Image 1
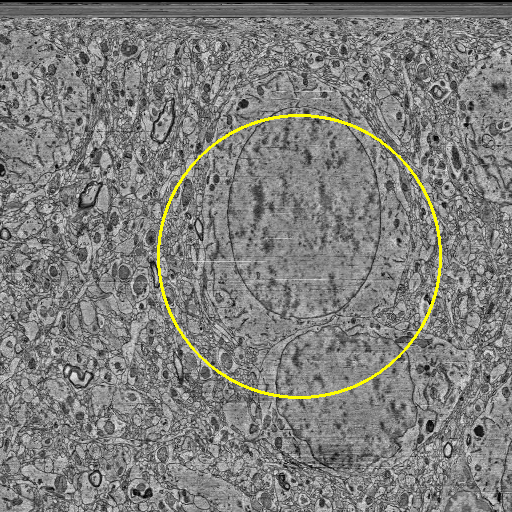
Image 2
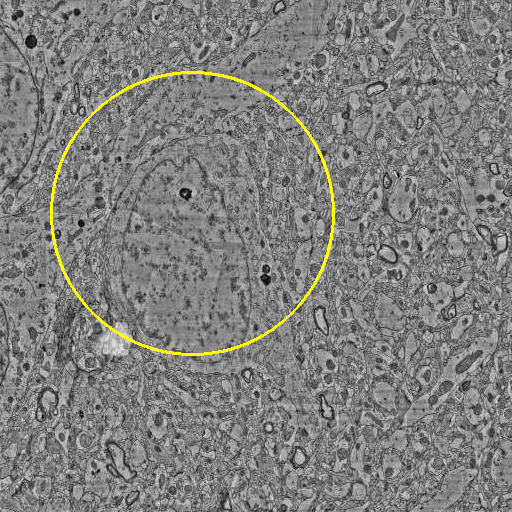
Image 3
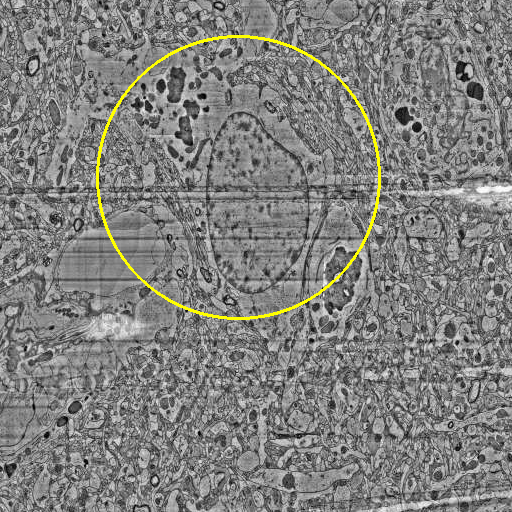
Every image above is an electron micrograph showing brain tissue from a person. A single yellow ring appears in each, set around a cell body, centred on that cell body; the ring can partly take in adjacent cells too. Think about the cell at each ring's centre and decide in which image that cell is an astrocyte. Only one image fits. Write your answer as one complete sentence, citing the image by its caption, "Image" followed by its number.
Image 3 is the one whose ringed central cell fits the description.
